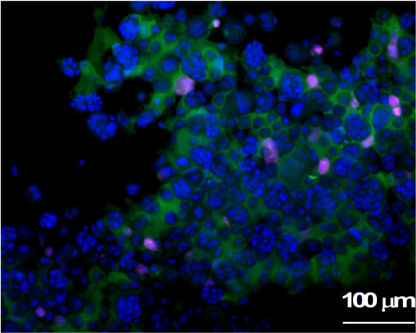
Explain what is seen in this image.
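A large cluster of closely packed cells with round to oval blue nuclei, several of which look clumped or lobulated. Green signal outlines polygonal cells and fills their cytoplasm across much of the cluster. A few scattered cells carry purple label and lie among the green-outlined cells.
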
